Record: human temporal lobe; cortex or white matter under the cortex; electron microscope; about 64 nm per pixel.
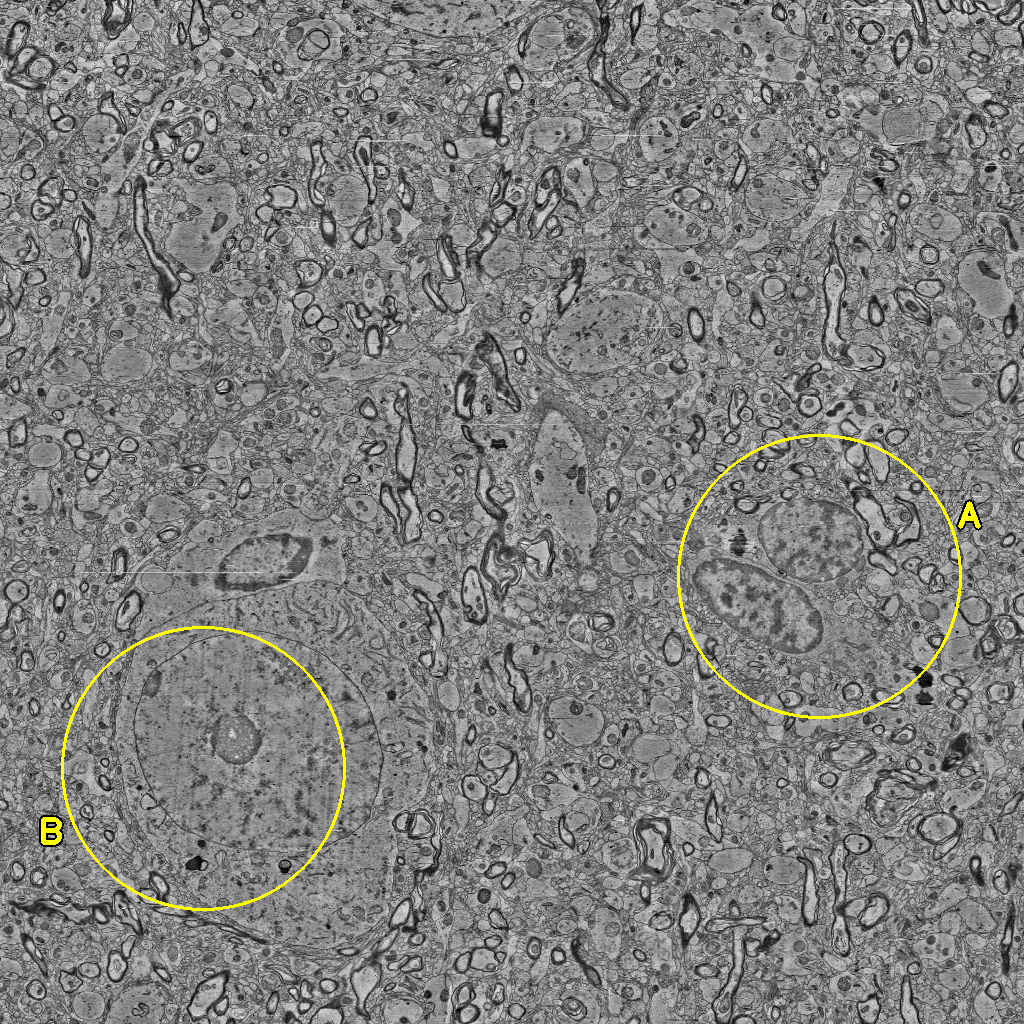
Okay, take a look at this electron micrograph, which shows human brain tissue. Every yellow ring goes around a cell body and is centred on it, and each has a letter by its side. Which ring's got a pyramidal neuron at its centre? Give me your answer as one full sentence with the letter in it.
The one you're after is ring B, centred on the cell you asked about.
